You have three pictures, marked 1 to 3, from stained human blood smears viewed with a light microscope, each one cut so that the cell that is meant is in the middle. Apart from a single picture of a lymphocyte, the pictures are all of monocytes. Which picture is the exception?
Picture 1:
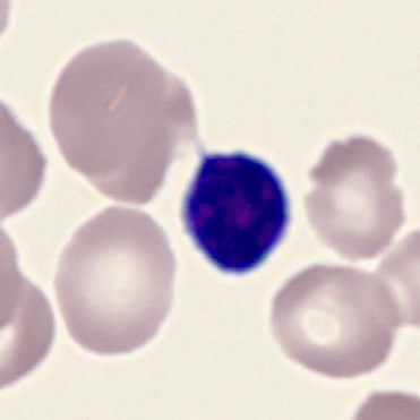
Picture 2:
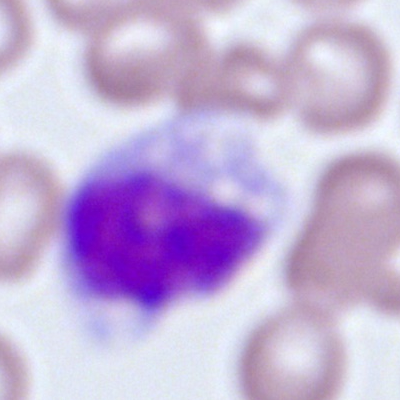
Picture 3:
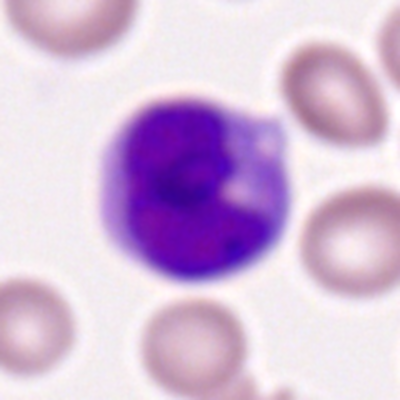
1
